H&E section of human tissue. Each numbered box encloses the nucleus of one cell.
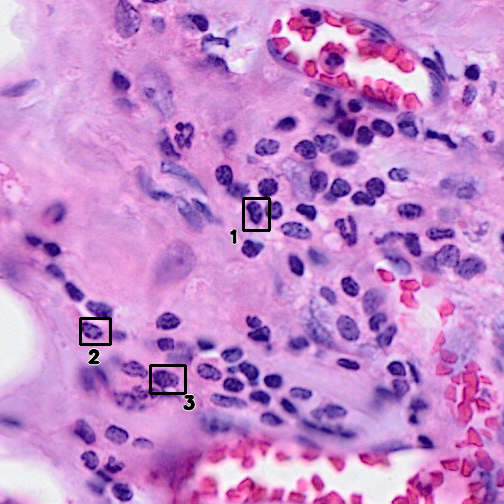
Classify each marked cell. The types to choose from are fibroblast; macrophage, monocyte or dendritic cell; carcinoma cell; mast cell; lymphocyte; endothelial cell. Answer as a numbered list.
1. lymphocyte
2. mast cell
3. lymphocyte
